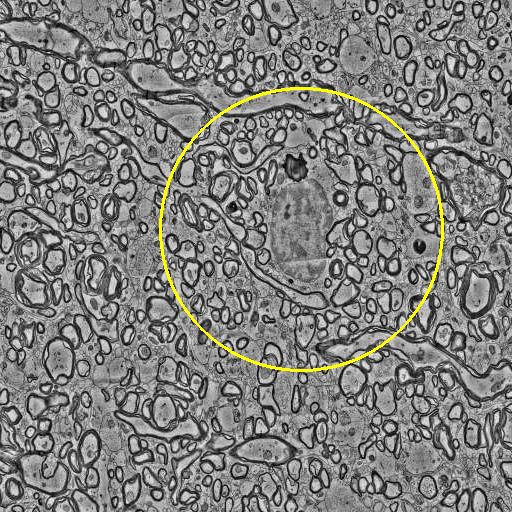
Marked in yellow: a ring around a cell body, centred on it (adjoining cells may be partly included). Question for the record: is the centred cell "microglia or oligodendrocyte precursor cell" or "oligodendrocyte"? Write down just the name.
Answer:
oligodendrocyte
